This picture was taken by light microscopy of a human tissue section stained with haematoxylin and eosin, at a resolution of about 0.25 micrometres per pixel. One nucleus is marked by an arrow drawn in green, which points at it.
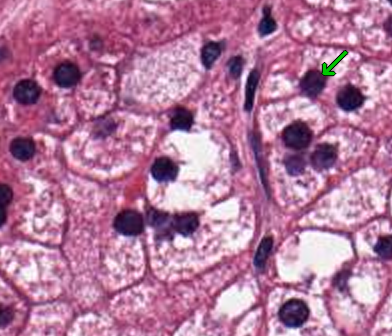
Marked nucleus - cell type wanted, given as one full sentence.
The marked nucleus is located in an adrenal cortical cell.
